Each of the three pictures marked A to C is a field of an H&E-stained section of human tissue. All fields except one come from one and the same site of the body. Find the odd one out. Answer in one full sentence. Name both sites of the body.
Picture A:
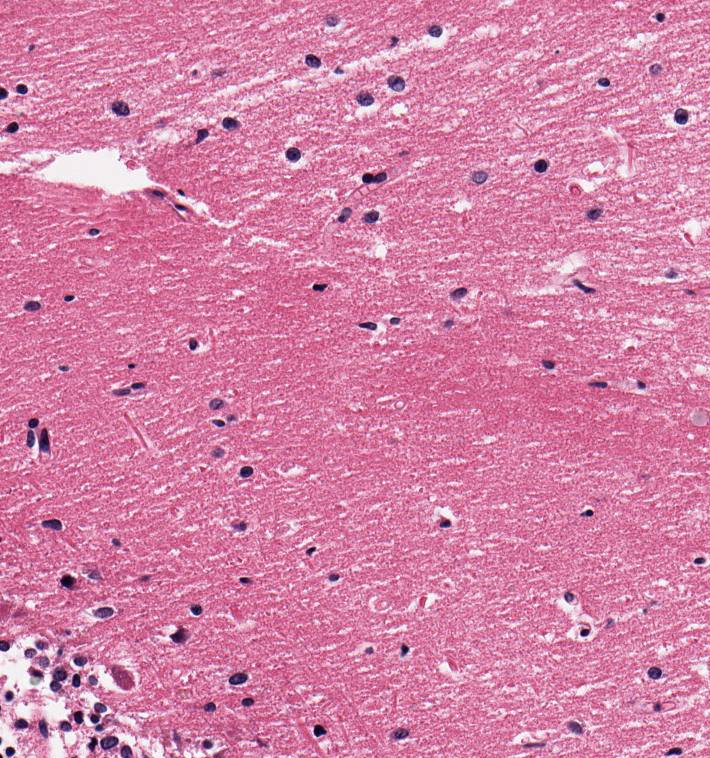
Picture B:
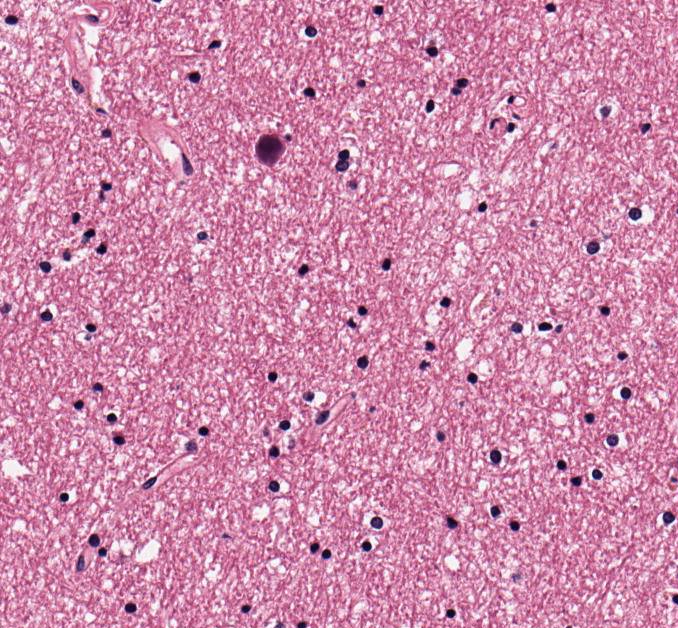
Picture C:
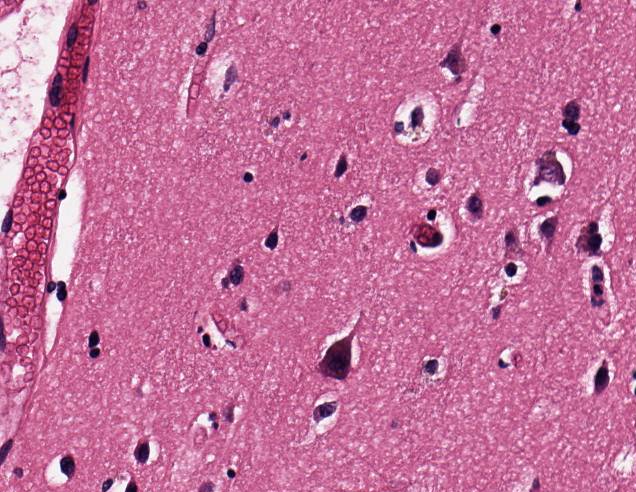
Picture A is the odd one out: it comes from the cerebellum, while the others come from the cerebral cortex.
